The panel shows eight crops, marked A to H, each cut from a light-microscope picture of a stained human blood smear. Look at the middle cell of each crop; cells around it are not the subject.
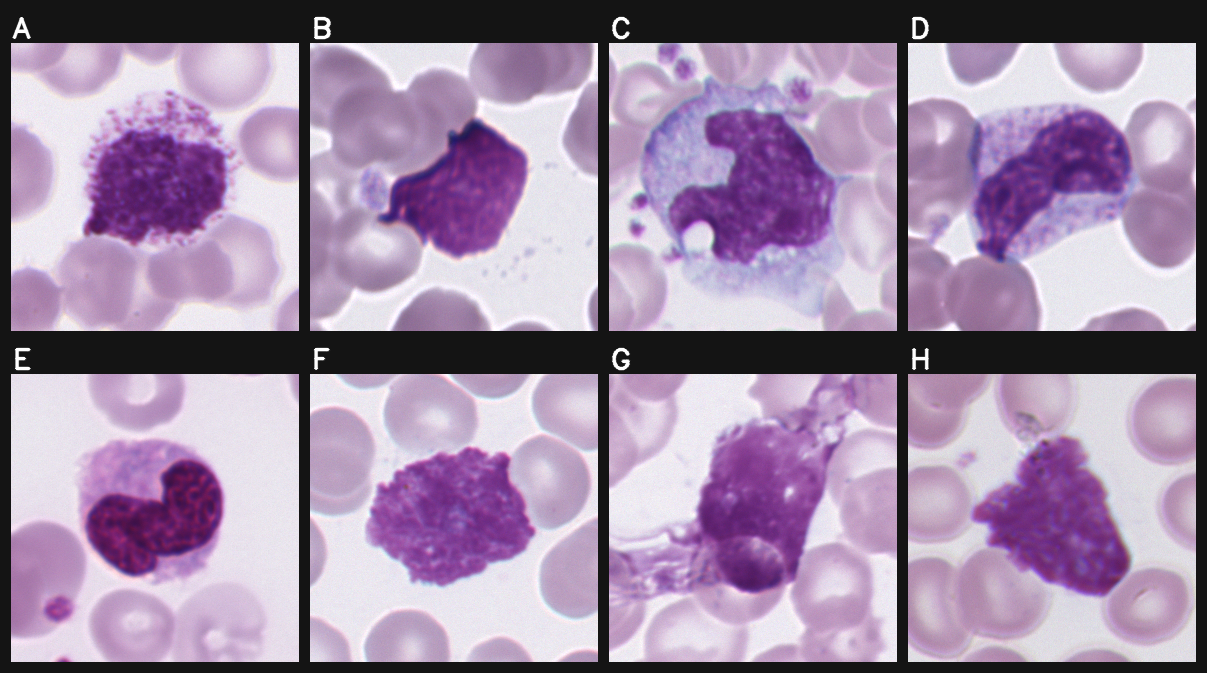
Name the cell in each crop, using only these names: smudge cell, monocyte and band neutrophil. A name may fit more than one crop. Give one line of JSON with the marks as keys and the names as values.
{"A": "band neutrophil", "B": "smudge cell", "C": "monocyte", "D": "band neutrophil", "E": "band neutrophil", "F": "smudge cell", "G": "smudge cell", "H": "smudge cell"}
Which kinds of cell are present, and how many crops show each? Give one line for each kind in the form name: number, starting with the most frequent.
smudge cell: 4
band neutrophil: 3
monocyte: 1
